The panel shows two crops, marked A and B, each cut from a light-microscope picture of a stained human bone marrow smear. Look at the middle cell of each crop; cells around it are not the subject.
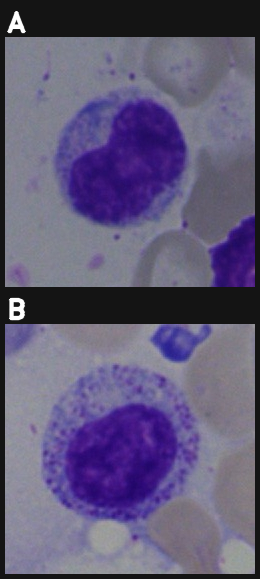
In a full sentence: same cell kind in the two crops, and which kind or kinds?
No, on this set crop A shows a metamyelocyte and crop B shows a myelocyte.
